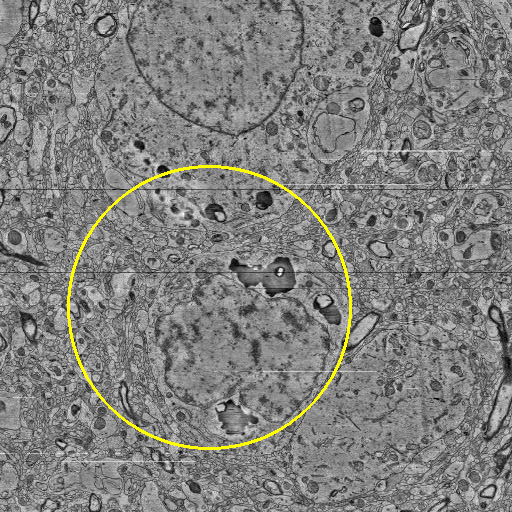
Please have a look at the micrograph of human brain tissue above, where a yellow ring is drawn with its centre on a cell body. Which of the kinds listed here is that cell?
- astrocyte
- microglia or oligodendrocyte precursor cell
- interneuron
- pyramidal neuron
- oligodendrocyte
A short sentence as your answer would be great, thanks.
At the centre of the ring sits an interneuron.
